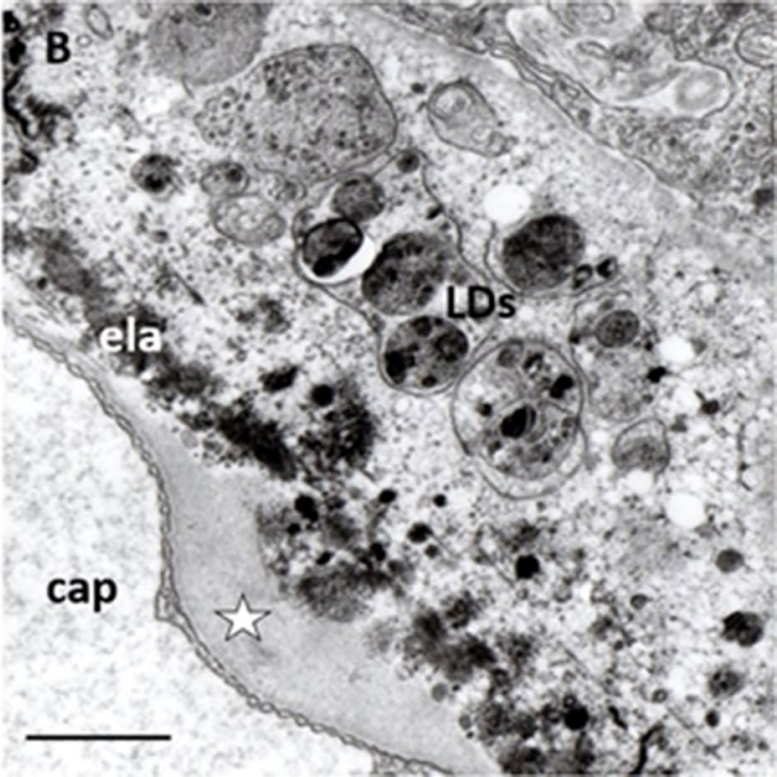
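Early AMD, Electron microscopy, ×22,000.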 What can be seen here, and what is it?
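This electron micrograph shows a drusen deposit lying above the elastic layer and a choroidal capillary. The deposit contains rounded bodies of various sizes and densities, some wrapped in membranes and holding dark granules, together with membrane fragments and small clear vacuoles. At the left the capillary lumen is lined by a thin endothelial cell, under which a smooth dome of homogeneous grey material bulges.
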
